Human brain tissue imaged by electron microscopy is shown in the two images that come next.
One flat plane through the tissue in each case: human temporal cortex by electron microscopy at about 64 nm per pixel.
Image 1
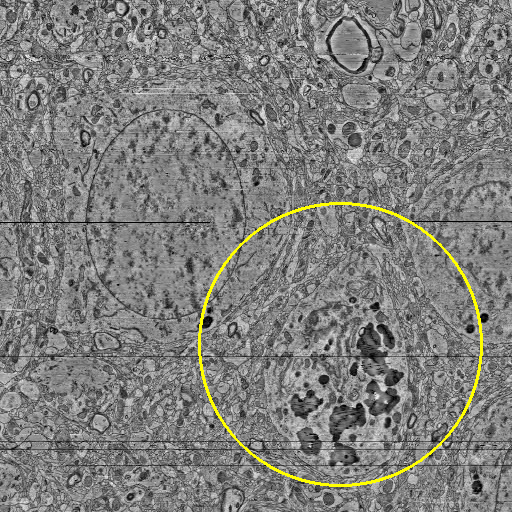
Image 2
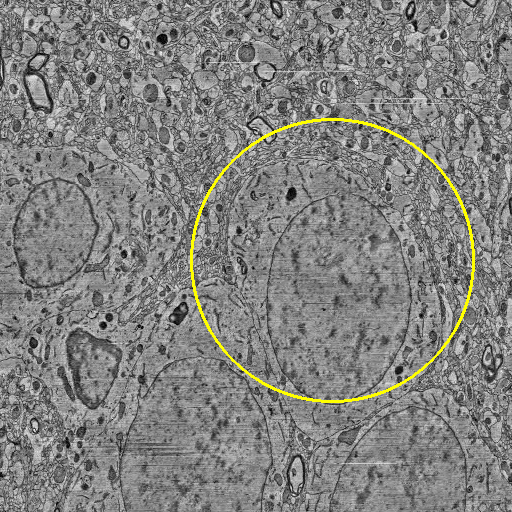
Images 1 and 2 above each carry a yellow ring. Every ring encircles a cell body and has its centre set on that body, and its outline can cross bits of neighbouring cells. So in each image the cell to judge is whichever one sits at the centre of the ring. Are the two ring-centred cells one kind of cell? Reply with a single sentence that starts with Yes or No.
No, in Image 1 and Image 2 the cells at the centres of their rings fall into two types.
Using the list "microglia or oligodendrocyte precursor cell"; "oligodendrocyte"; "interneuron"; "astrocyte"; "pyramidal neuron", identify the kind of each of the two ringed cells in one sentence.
The first is an interneuron and the second is a pyramidal neuron.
